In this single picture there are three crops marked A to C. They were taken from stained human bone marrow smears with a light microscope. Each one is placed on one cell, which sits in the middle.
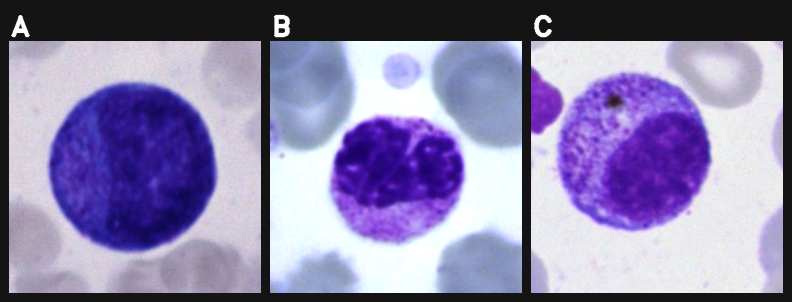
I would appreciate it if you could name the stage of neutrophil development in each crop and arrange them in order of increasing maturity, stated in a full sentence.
Ordered least to most mature, the series reads crop A (a promyelocyte), crop C (a myelocyte) and crop B (a band neutrophil).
